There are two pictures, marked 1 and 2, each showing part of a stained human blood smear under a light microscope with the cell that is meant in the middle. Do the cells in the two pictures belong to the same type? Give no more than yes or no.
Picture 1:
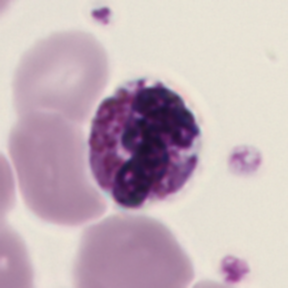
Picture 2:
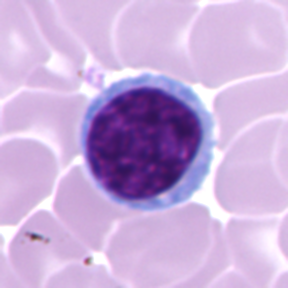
no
